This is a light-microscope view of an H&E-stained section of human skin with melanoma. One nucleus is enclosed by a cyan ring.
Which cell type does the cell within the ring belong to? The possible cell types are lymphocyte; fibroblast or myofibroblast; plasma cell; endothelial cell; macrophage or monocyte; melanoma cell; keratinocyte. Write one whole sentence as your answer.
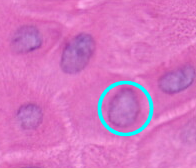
The correct response here is that the cell within the ring is a keratinocyte.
